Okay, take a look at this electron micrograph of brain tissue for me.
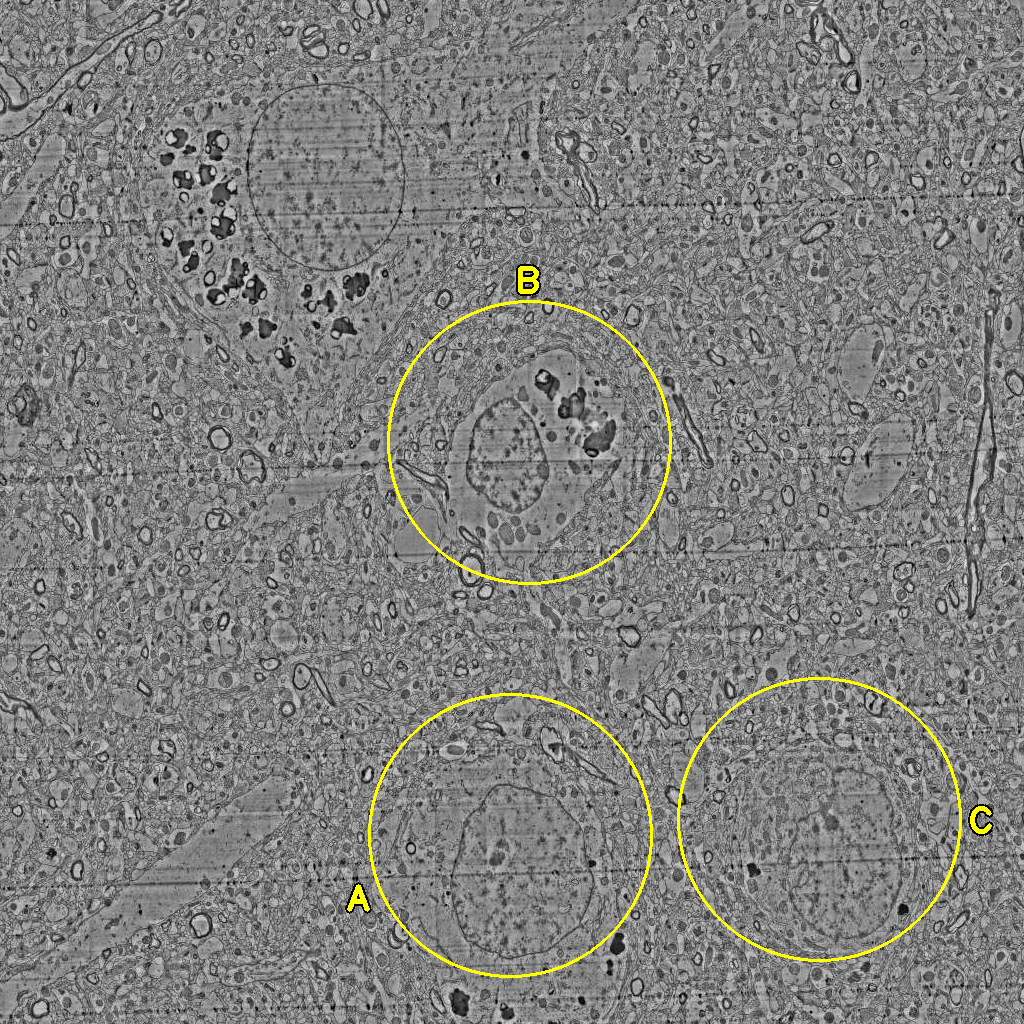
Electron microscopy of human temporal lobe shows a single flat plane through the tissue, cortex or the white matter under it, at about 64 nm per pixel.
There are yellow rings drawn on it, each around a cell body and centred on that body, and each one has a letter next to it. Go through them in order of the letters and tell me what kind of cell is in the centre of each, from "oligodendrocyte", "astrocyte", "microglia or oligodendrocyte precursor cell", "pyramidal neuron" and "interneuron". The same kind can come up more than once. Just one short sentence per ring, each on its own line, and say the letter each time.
In the centre of ring A there's a pyramidal neuron.
In the centre of ring B there's an astrocyte.
In the centre of ring C there's an interneuron.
